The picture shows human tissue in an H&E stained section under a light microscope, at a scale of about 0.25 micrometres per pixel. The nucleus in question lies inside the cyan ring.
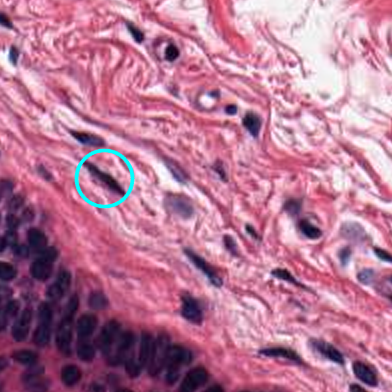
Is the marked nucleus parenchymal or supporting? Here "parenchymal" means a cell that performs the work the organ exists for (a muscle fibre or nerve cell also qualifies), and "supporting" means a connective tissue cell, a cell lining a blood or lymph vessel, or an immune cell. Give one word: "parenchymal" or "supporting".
supporting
